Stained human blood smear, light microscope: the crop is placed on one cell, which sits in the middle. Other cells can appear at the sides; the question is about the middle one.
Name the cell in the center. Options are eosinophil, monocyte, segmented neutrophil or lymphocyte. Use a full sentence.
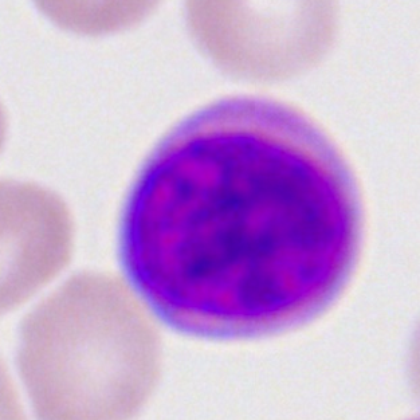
This crop is built around a lymphocyte at its centre.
